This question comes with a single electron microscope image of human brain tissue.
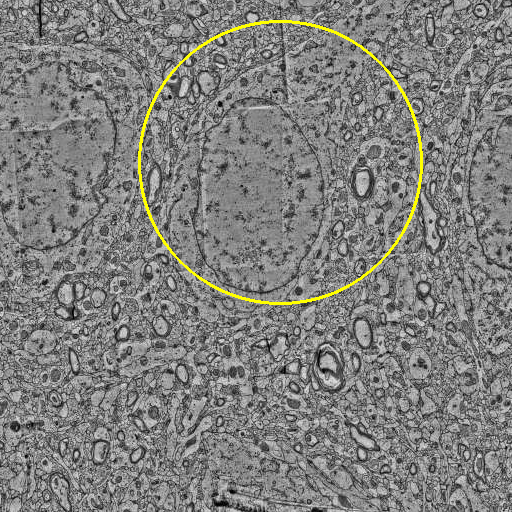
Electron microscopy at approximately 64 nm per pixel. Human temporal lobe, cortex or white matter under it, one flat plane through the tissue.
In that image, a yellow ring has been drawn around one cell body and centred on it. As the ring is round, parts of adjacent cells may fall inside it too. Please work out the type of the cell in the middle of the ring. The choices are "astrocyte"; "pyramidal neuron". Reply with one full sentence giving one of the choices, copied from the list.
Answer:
Of the choices, a pyramidal neuron is the cell sitting in the middle of the ring.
